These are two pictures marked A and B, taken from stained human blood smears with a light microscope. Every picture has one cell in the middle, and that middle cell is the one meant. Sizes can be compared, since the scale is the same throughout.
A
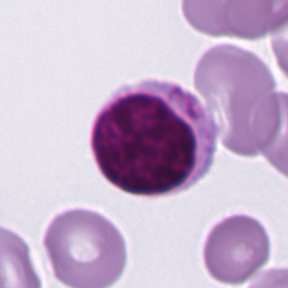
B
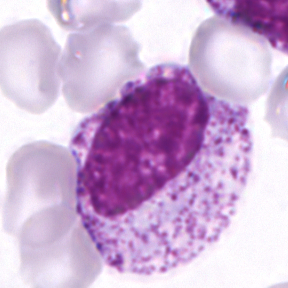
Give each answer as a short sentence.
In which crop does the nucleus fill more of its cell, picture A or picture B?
The nucleus fills more of the cell in picture A than in picture B.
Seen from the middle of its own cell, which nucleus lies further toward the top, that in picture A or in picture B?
It is the nucleus in picture B that lies further toward the top of its cell.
